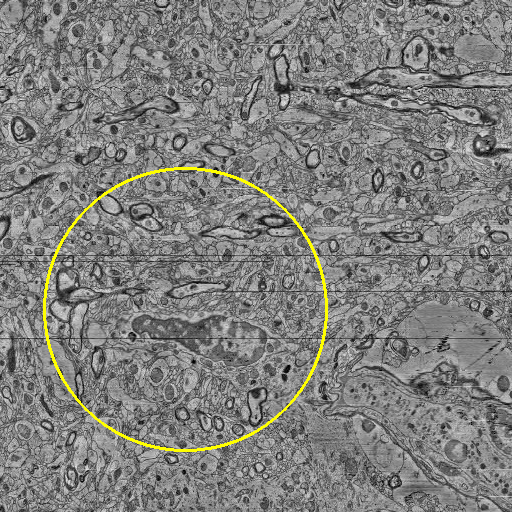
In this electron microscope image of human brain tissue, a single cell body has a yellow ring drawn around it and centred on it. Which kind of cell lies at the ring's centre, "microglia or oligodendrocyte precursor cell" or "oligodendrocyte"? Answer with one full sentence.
It is a microglial cell or oligodendrocyte precursor cell whose cell body lies at the centre of the yellow ring here.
